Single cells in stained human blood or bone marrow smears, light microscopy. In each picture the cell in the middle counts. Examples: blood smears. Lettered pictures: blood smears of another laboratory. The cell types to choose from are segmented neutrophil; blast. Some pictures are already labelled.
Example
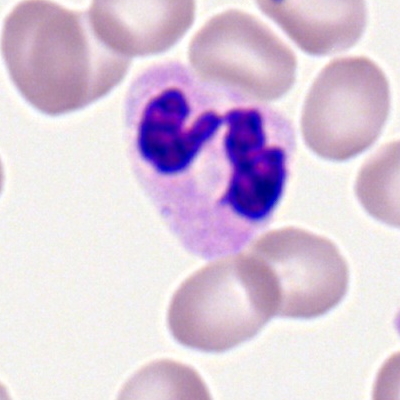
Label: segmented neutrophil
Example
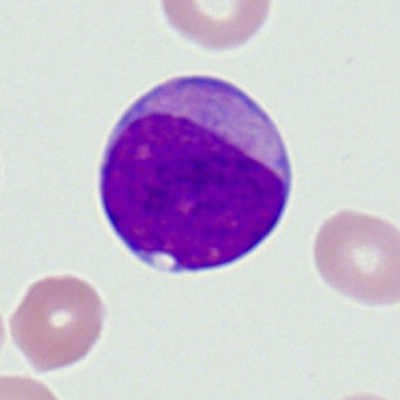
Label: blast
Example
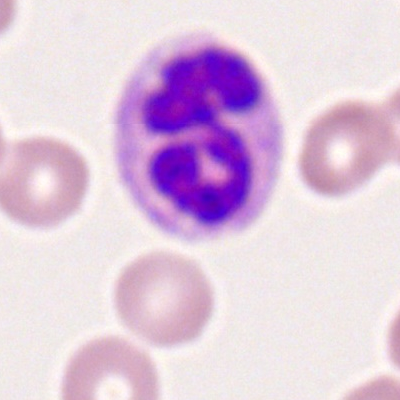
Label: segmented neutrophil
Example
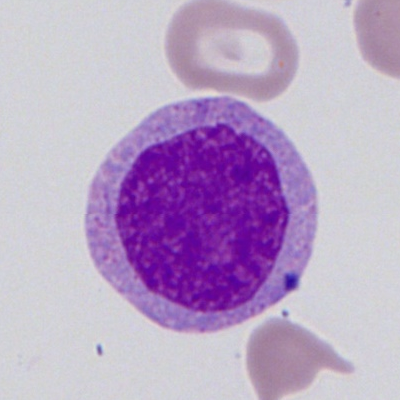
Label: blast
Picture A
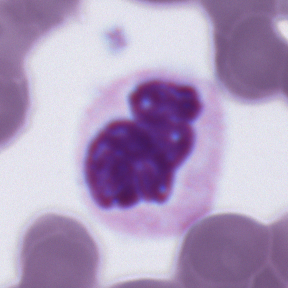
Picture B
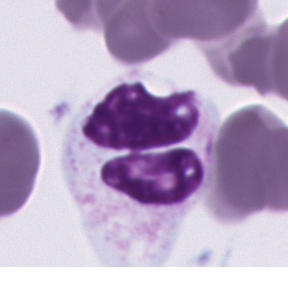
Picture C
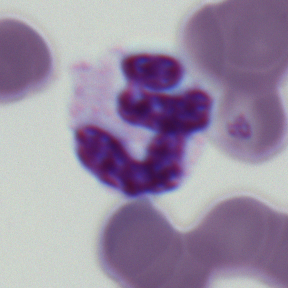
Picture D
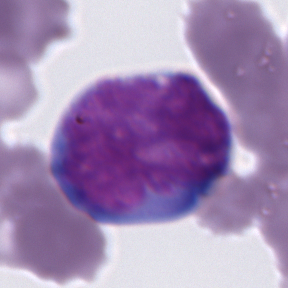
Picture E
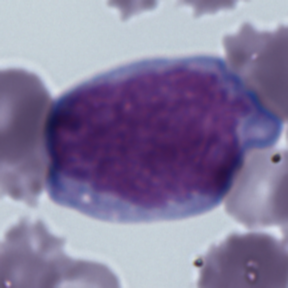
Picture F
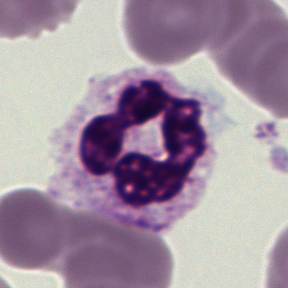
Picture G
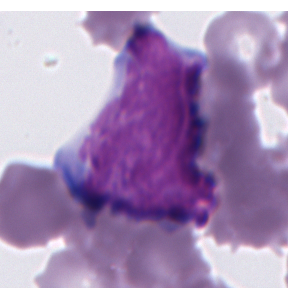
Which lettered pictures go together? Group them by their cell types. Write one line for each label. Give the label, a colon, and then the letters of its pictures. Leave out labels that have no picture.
segmented neutrophil: A, B, C, F
blast: D, E, G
